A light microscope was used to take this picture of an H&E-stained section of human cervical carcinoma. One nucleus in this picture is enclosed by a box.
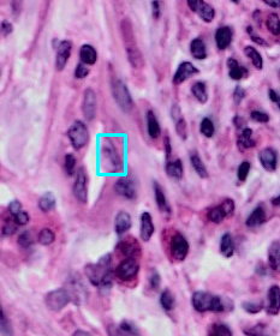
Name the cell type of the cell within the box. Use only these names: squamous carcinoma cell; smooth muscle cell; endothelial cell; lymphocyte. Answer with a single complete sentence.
This is an endothelial cell.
